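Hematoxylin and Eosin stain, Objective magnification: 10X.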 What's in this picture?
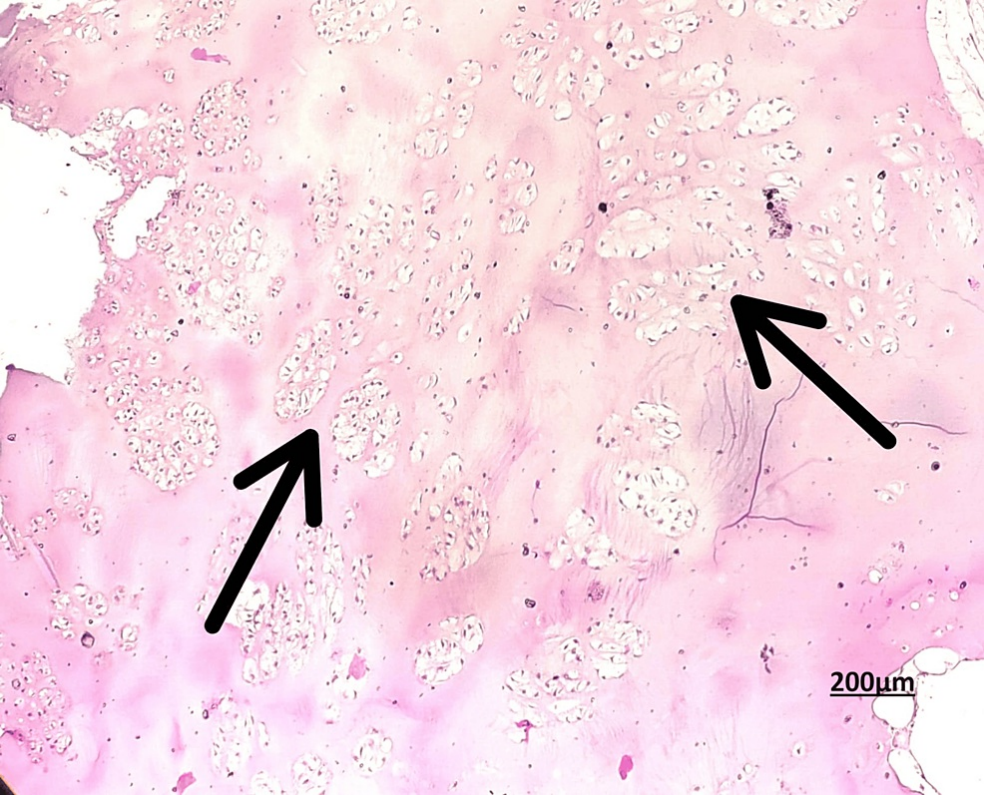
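This section shows nests of cells with small nuclei set in a large amount of pink, glassy extracellular material. The cell nests are rounded to oval and are scattered throughout the pink background, with some lying close together in groups. Each nest holds many closely packed cells. The cells have pale, clear-looking cytoplasm, and their small, dark purple nuclei take up only a small part of each cell. Scattered single small cells also lie within the pink material between the nests, and a few thin dark purple lines cross the pink areas. Arrows point to two of the cell nests.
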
